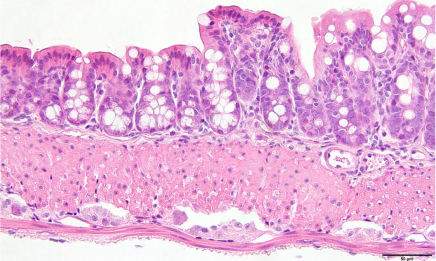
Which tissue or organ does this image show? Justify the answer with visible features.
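Straight tubular crypts open onto a flat surface without villi. The crypt epithelium is rich in goblet cells with clear mucin vacuoles. A thick pink muscle layer lies beneath the mucosa.
Answer: large intestine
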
